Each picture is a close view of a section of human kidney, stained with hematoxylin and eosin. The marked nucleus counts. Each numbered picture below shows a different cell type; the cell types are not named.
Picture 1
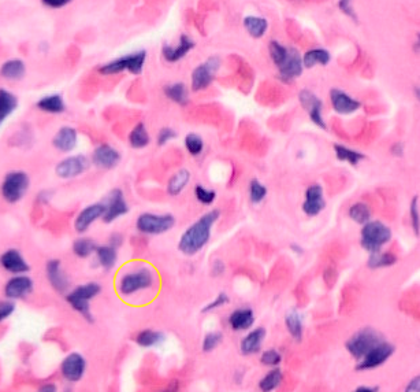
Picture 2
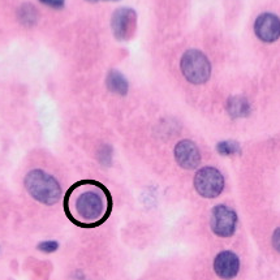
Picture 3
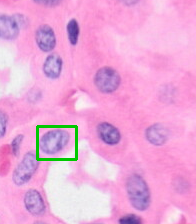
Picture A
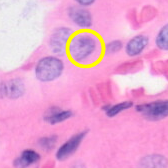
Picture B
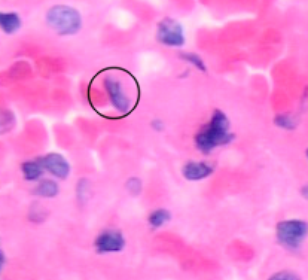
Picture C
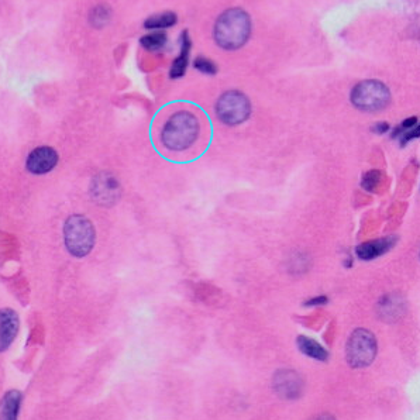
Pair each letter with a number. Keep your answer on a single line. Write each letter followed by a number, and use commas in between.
A 3, B 1, C 2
